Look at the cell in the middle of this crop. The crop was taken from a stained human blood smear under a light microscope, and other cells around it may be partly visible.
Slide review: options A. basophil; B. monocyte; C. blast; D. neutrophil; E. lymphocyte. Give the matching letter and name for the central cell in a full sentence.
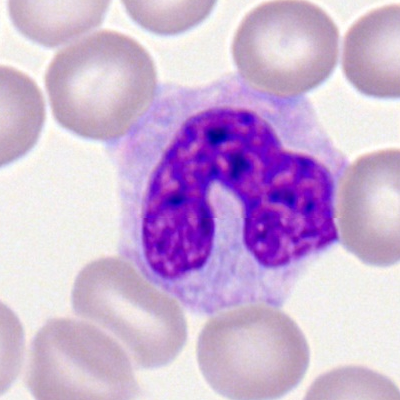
The centered cell is a monocyte, which is why option B is right.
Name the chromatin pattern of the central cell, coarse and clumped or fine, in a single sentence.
Take a look at the chromatin, which is coarsely clumped.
